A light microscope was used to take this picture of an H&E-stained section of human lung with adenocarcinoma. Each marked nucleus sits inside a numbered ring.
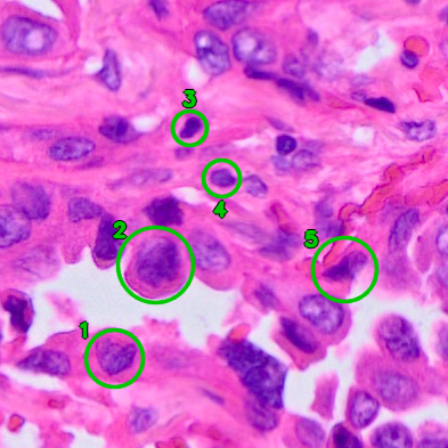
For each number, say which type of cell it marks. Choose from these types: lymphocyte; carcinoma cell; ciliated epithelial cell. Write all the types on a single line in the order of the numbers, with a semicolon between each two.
carcinoma cell; carcinoma cell; lymphocyte; lymphocyte; carcinoma cell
